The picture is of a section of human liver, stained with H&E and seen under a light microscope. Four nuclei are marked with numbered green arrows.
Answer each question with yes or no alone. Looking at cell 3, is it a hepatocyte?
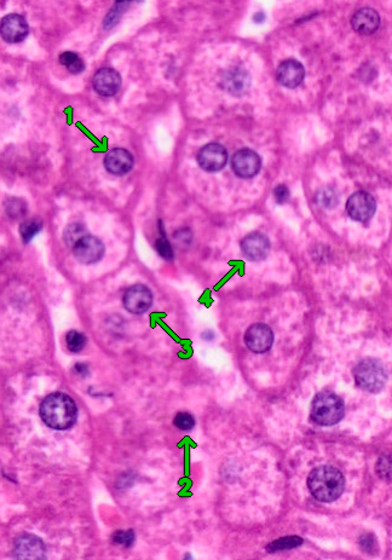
yes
